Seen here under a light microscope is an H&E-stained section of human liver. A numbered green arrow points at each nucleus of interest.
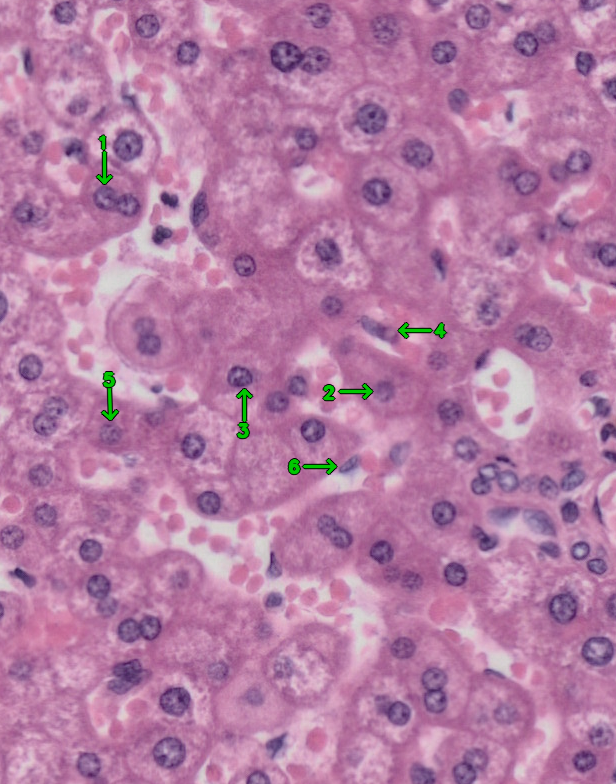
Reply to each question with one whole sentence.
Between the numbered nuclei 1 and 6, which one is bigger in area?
Nucleus 1 covers more area, about 1.5 times as much as nucleus 6.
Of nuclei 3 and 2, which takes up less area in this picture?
With nucleus 3 about 1.5 times its size, nucleus 2 is the smaller of the two.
